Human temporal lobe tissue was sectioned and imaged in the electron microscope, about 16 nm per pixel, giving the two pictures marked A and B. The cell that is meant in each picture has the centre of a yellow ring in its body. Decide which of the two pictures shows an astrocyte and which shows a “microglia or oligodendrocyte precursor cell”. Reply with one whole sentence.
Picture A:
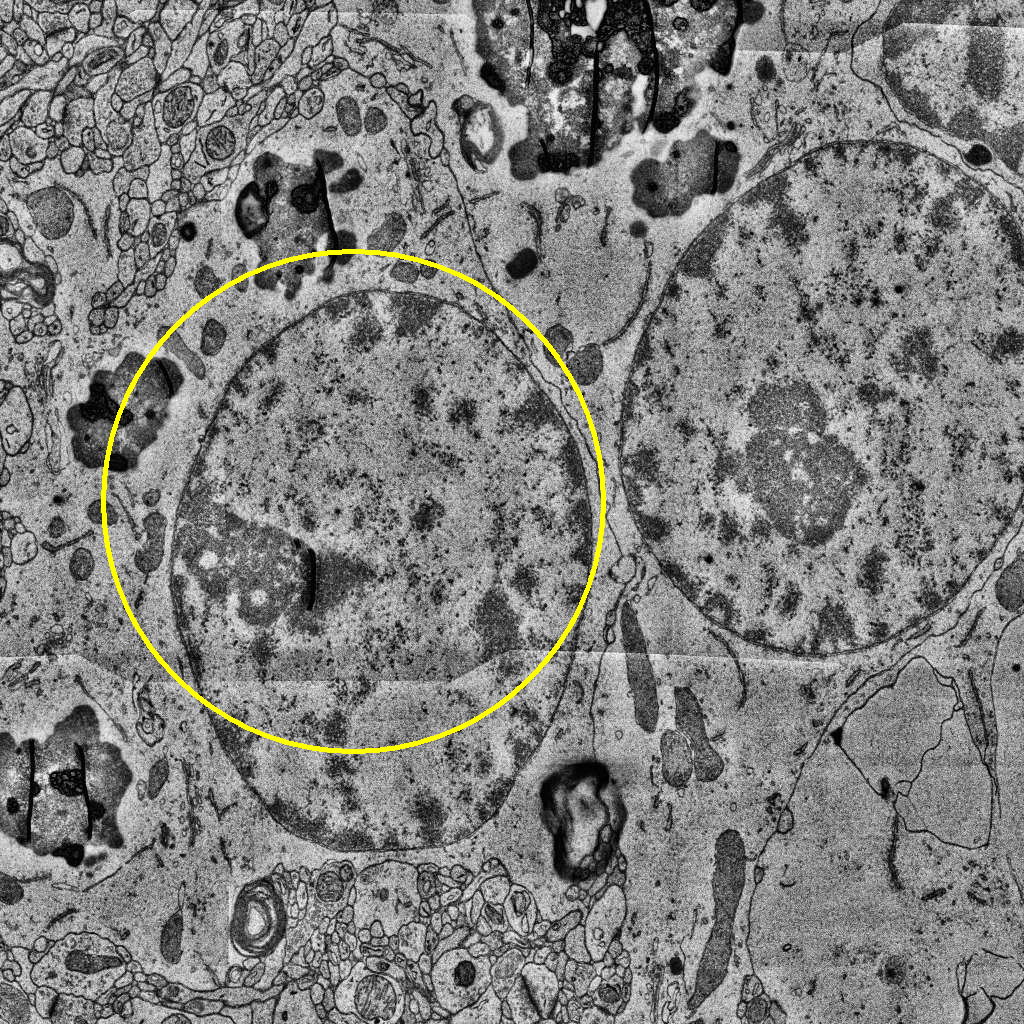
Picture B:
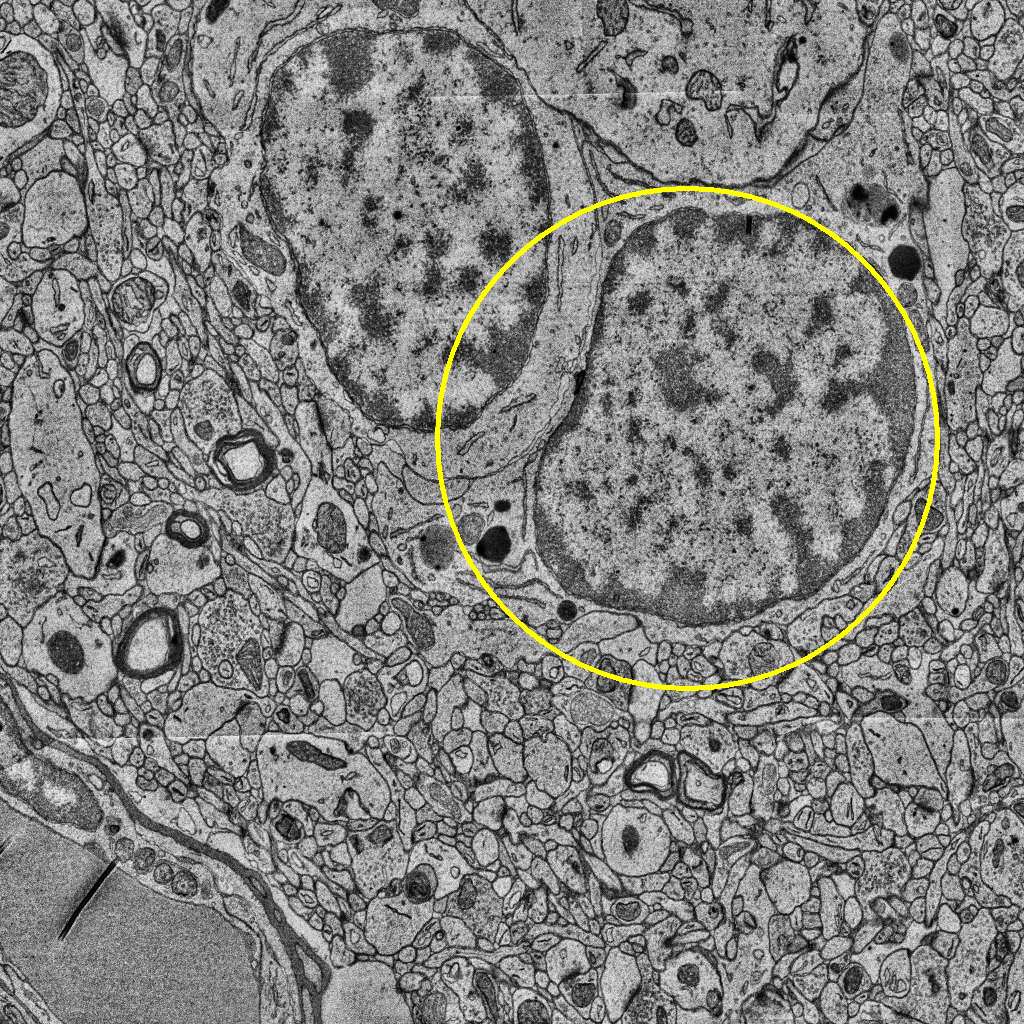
Picture A is of an astrocyte, and picture B is of a “microglia or oligodendrocyte precursor cell”.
